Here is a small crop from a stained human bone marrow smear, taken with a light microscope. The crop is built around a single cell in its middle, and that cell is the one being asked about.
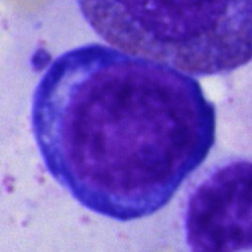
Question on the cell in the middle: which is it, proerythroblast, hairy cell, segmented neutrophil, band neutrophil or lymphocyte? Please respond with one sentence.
Here the centrally located cell is a proerythroblast.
